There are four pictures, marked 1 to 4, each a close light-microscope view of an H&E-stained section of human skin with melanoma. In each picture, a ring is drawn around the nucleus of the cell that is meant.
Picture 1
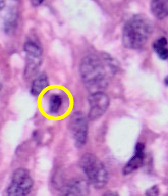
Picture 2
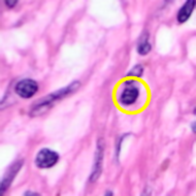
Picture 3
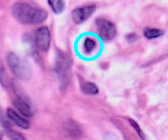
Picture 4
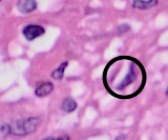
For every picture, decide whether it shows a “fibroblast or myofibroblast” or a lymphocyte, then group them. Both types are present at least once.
1: lymphocyte
2: lymphocyte
3: lymphocyte
4: fibroblast or myofibroblast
